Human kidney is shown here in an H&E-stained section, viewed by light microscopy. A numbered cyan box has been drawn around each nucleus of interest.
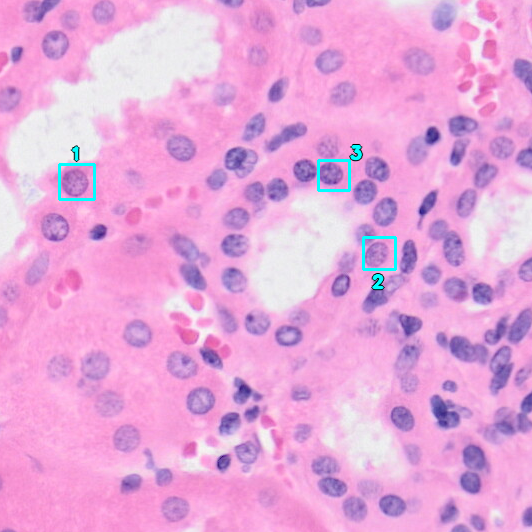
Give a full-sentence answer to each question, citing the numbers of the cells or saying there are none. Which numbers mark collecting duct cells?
The cells labelled 2 and 3 in this section are collecting duct cells.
